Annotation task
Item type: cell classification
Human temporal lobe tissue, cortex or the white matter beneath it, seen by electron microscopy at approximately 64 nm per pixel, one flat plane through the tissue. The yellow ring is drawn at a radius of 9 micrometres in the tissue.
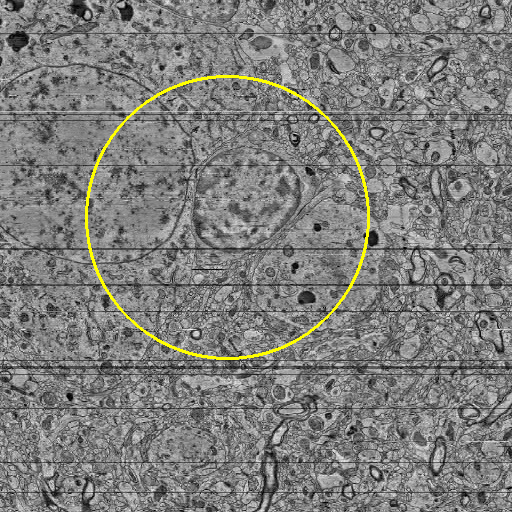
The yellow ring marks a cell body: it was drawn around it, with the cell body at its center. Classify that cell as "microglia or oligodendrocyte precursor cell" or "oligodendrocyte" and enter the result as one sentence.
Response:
The ring's center falls on an oligodendrocyte.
